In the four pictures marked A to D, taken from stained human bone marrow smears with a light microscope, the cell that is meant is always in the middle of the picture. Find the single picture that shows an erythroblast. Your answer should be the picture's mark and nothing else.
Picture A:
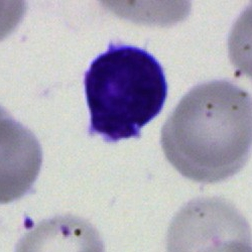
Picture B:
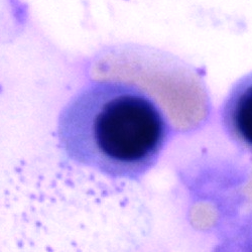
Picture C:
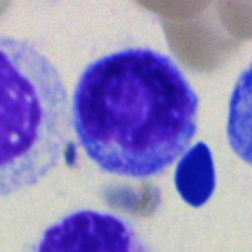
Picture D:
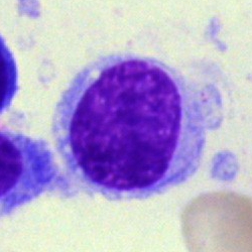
B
